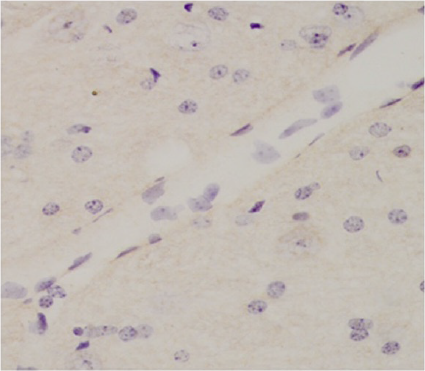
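This is brain tissue crossed diagonally by a narrow blood vessel with a pale lumen lined by vascular endothelium. Elongated, flattened purple nuclei lie along the vessel wall. The surrounding tissue is pale beige and evenly toned, with scattered round to oval purple nuclei, many with a visible nucleolus. No distinct brown staining marks the vessel lining or the cells around it.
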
